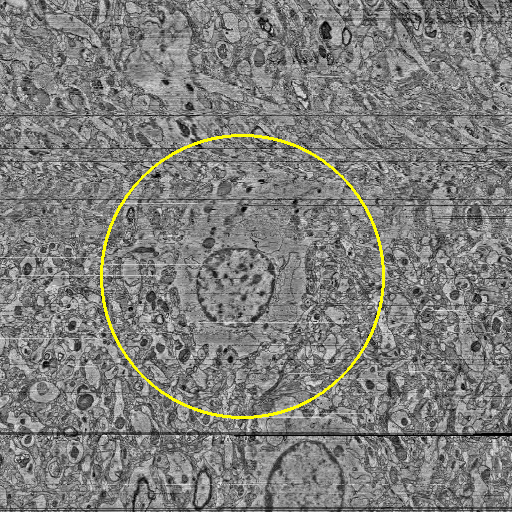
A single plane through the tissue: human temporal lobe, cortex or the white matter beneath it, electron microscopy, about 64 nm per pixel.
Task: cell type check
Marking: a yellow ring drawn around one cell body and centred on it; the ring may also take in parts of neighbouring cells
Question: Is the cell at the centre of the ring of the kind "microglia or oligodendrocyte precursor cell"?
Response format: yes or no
no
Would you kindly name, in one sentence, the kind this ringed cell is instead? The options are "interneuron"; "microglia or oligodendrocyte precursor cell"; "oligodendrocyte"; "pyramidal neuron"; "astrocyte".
The cell at the ring centre is an astrocyte.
